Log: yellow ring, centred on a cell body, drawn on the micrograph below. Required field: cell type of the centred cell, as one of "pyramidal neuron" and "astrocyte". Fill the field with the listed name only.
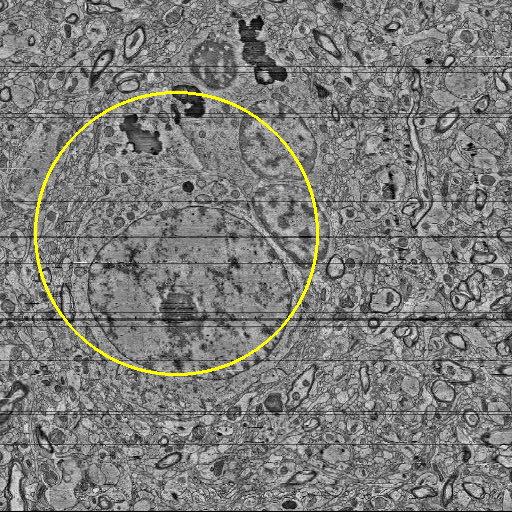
pyramidal neuron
